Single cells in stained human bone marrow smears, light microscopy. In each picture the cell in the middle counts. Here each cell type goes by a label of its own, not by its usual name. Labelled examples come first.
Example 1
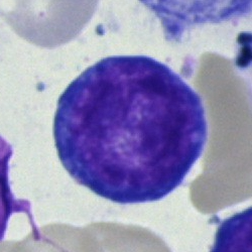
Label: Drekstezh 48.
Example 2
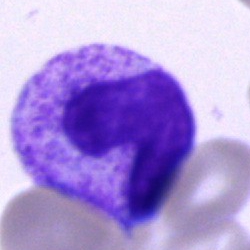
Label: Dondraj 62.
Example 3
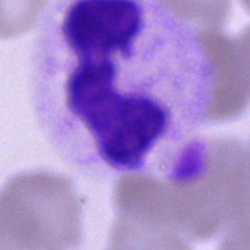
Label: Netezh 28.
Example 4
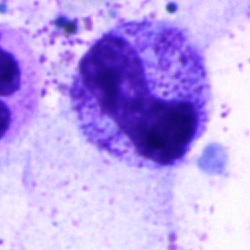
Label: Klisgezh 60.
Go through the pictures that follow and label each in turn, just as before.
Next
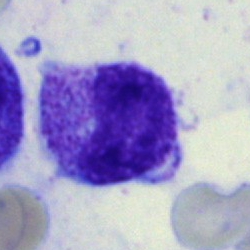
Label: Dondraj 62.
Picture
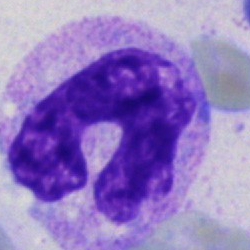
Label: Klisgezh 60.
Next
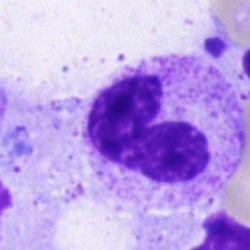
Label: Klisgezh 60.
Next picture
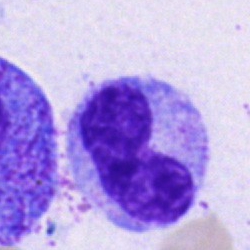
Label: Dondraj 62.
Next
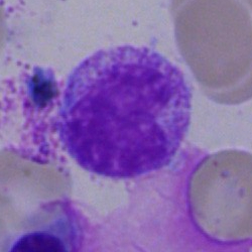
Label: Dondraj 62.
